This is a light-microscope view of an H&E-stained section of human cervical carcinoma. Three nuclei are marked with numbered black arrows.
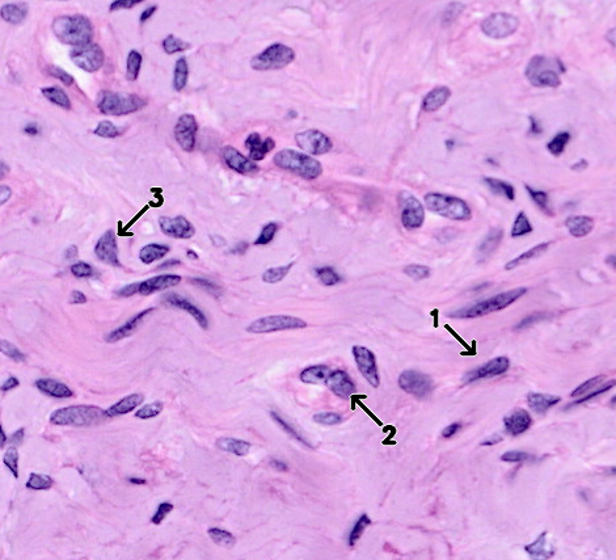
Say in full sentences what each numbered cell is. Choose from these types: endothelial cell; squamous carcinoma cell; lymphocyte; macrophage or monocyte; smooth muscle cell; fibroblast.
Cells 1 and 3 are fibroblasts. Cell 2 is an endothelial cell.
